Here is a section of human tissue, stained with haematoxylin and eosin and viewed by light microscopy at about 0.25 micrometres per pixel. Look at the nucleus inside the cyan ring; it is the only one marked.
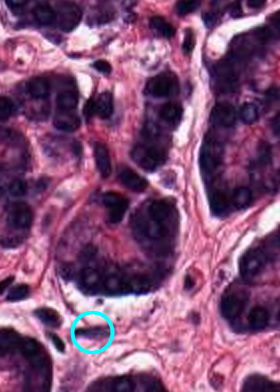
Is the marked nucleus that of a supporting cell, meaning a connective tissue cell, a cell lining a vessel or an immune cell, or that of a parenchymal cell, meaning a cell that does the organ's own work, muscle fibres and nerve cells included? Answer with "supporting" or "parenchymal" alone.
supporting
